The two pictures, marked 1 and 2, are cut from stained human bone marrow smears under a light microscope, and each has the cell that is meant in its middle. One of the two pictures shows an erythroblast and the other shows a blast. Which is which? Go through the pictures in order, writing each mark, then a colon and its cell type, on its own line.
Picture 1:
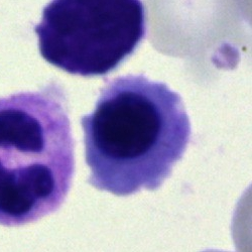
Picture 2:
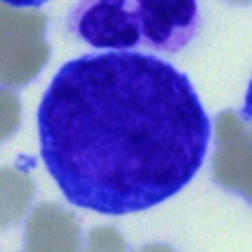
1: erythroblast
2: blast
